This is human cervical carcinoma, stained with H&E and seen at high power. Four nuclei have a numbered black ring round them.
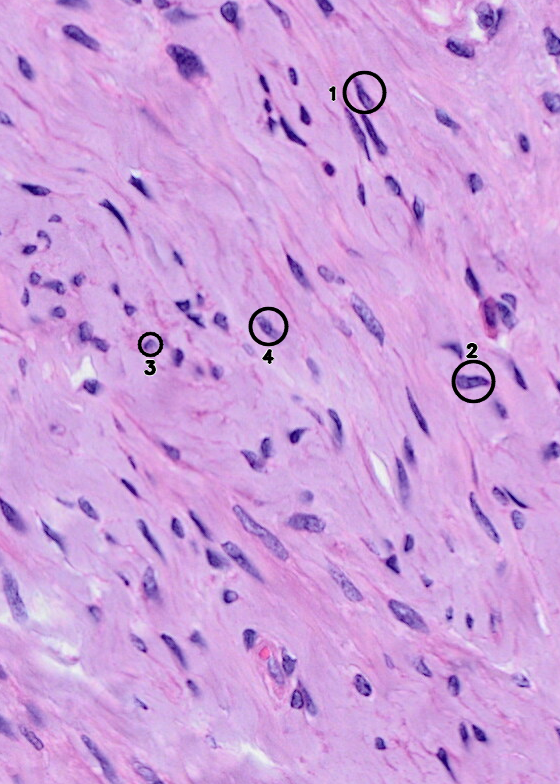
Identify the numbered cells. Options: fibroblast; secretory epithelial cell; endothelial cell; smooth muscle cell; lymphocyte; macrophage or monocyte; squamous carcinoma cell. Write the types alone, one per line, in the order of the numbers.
fibroblast
fibroblast
smooth muscle cell
fibroblast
